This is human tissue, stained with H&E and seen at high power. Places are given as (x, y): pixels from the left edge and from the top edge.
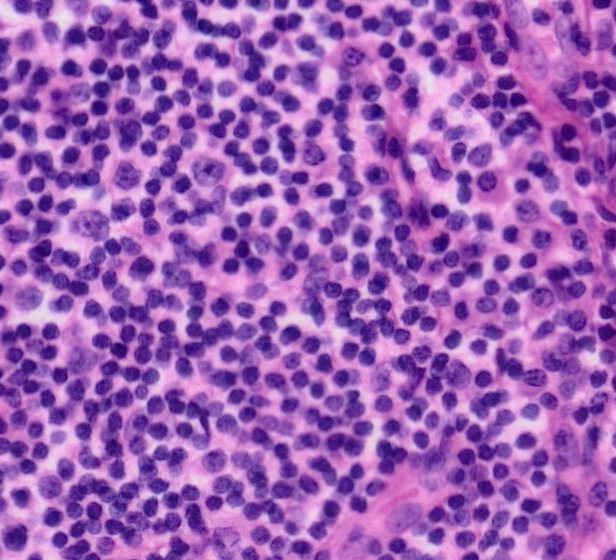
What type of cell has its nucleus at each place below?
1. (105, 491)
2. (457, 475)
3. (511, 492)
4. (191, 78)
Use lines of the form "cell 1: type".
cell 1: small lymphocyte
cell 2: endothelial cell
cell 3: small lymphocyte
cell 4: small lymphocyte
